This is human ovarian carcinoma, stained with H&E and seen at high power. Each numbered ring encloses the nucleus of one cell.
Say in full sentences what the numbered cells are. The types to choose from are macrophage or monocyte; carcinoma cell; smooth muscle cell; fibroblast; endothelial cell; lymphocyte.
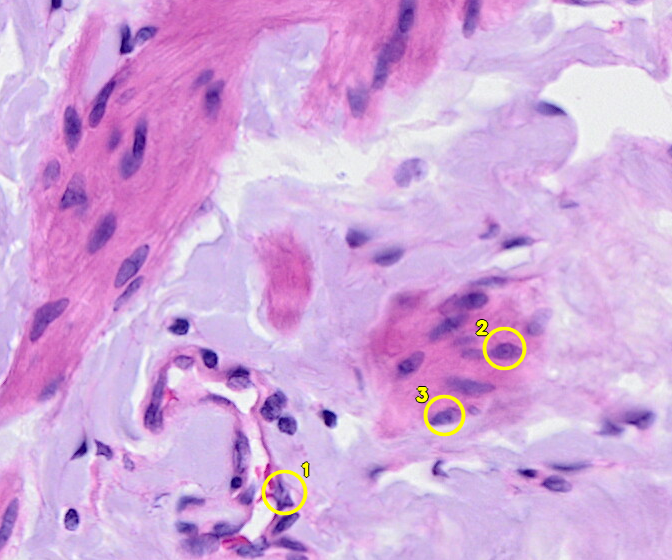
Cell 1 is an endothelial cell, cell 2 is a smooth muscle cell and cell 3 is a smooth muscle cell.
